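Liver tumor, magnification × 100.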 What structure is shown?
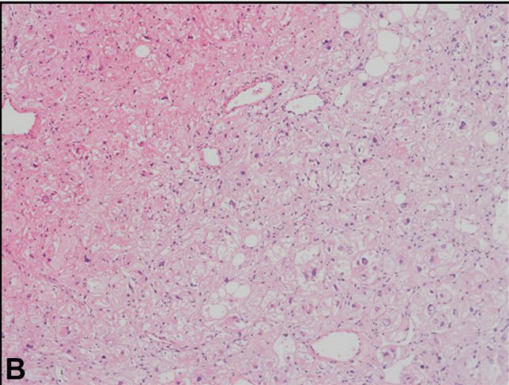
Thin-walled vessels.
